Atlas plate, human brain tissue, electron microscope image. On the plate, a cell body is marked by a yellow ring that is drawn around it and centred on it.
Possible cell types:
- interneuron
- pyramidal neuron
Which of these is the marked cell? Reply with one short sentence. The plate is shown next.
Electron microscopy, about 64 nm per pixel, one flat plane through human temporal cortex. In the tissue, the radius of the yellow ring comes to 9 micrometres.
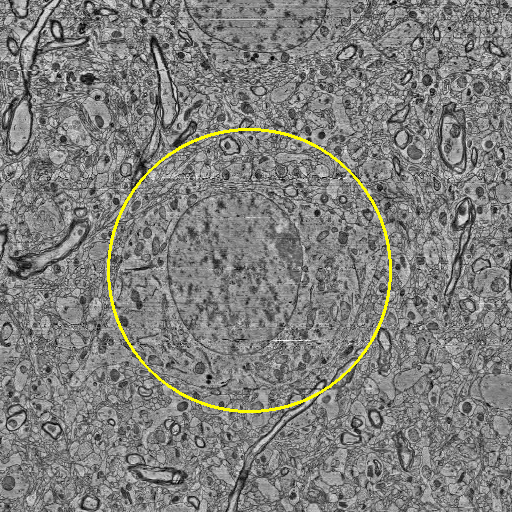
The marked cell is an interneuron.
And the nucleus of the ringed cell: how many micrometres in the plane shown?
In this plane the nucleus measures roughly 11 by 9 micrometers.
